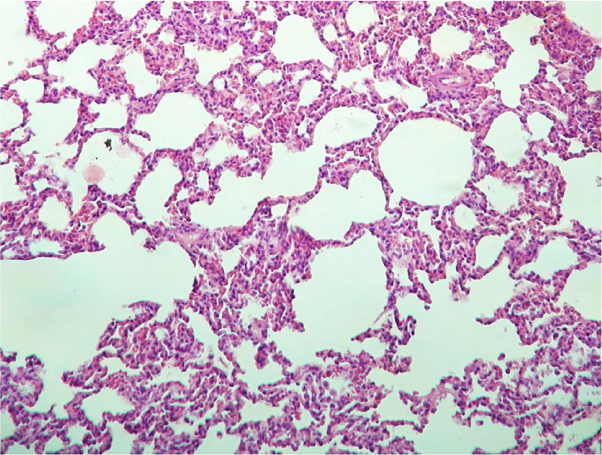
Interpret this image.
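Lung parenchyma in which the alveolar walls are markedly thickened and densely crowded with purple nuclei. The air spaces are irregular and narrowed, and some regions are solidly cellular with little remaining air space. Pale pink material is present in places within the alveoli.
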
